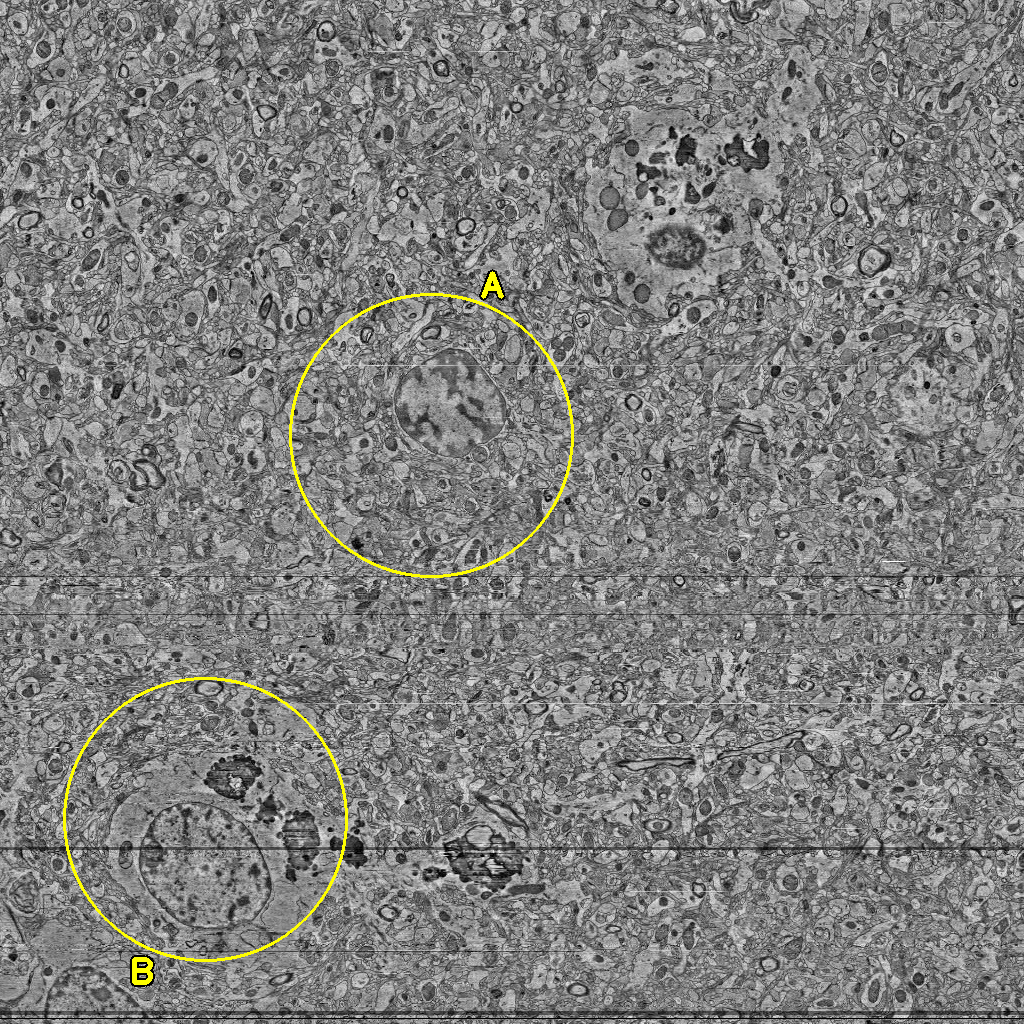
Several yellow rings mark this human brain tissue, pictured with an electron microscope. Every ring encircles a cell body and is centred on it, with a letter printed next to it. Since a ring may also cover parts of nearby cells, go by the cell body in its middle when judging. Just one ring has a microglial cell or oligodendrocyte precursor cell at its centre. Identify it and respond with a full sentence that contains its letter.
The answer is ring A, whose centre rests on the cell asked for.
